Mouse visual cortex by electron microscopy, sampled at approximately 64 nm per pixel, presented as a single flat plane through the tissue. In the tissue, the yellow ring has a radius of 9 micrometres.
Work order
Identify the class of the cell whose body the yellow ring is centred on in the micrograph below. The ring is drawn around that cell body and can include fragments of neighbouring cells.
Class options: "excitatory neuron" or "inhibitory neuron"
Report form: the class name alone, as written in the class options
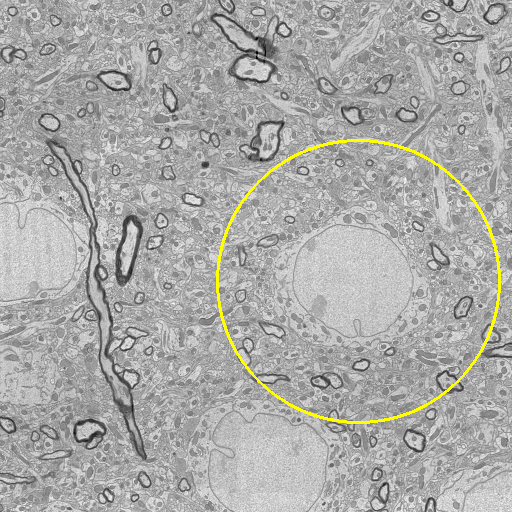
excitatory neuron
